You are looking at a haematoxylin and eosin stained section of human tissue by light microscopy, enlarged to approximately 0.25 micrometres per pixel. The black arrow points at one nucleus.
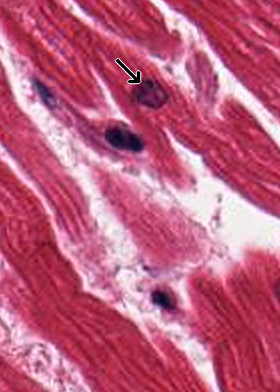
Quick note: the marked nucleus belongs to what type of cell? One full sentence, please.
The marked nucleus is that of a cardiomyocyte.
